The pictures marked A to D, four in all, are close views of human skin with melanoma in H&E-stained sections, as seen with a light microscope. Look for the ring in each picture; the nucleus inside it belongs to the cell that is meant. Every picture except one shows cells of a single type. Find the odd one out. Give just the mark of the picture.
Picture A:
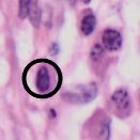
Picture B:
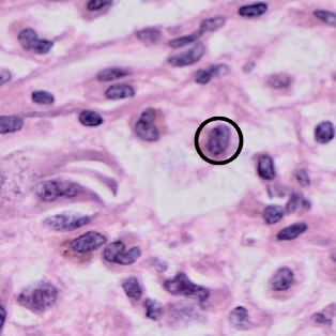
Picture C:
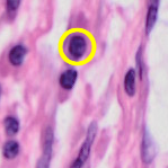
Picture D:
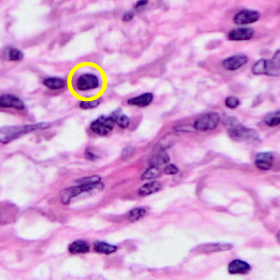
B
